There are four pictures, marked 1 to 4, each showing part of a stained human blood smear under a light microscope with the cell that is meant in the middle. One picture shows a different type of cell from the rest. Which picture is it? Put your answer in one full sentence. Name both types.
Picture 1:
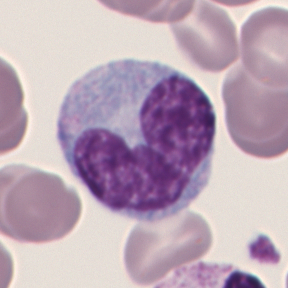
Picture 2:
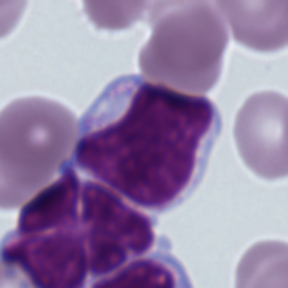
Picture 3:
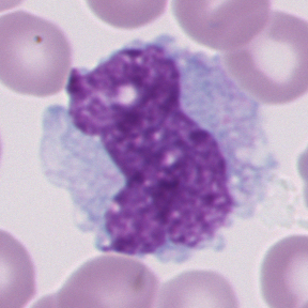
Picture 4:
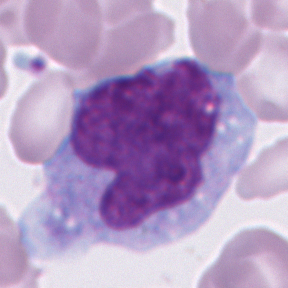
The others show monocytes, but picture 2 shows a large granular lymphocyte.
